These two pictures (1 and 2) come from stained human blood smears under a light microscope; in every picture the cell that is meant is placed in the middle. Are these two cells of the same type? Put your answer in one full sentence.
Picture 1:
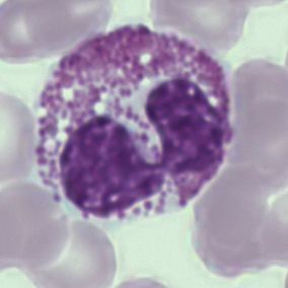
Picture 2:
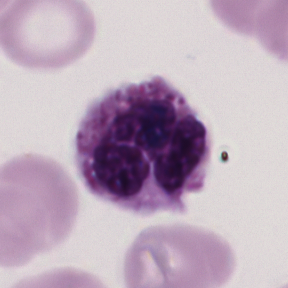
Yes, the two pictures both show eosinophils.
